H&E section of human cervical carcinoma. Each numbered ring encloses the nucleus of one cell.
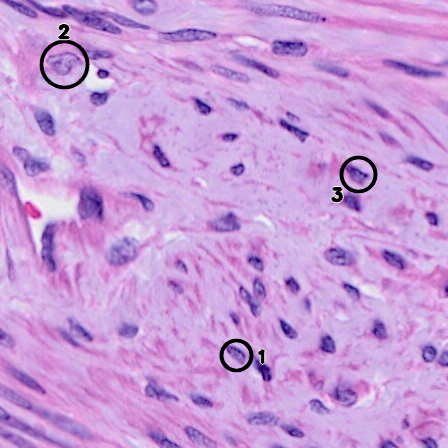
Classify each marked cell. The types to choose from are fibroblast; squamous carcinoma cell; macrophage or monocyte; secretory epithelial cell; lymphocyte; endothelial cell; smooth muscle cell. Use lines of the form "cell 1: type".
cell 1: smooth muscle cell
cell 2: endothelial cell
cell 3: smooth muscle cell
